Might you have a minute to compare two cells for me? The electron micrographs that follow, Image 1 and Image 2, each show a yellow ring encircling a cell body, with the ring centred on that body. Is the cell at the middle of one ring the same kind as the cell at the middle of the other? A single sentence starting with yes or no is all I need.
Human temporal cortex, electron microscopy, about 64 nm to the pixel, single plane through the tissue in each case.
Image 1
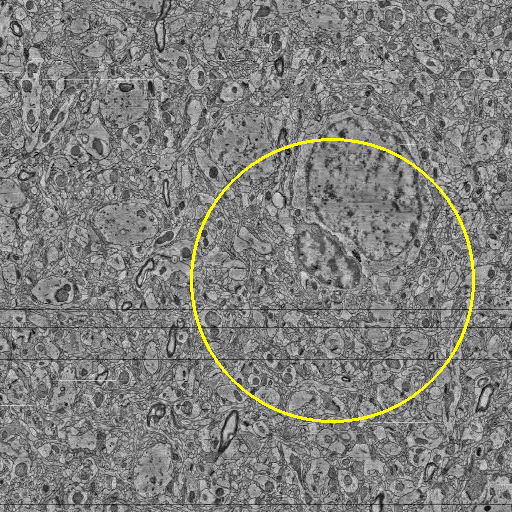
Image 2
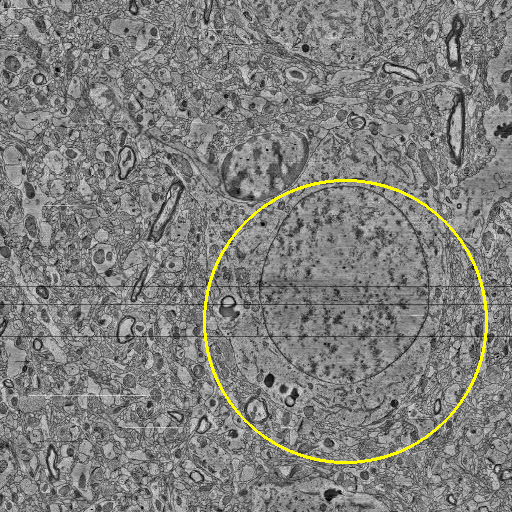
No, the cells in the middle of the two rings are of two separate kinds.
